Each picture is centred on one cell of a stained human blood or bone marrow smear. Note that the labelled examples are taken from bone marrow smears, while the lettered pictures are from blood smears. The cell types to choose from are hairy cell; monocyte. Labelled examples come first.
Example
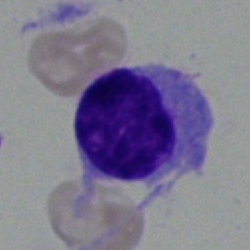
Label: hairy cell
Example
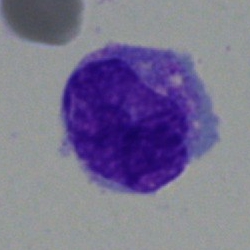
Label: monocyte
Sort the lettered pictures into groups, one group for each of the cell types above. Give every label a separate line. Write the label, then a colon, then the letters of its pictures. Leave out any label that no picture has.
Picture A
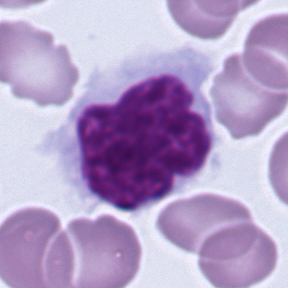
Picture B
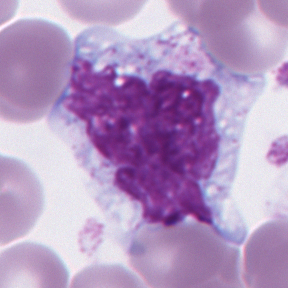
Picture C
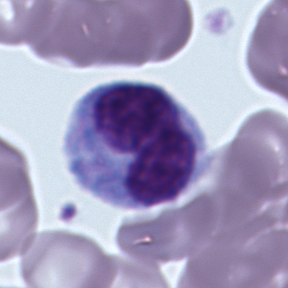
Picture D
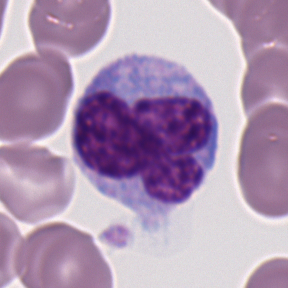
hairy cell: A
monocyte: B, C, D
